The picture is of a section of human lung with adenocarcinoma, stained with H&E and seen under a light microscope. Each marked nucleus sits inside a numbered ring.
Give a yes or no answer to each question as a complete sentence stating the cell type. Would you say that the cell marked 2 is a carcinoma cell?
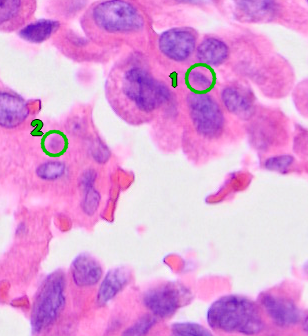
No, the cell with number 2 is not a carcinoma cell but a macrophage or monocyte.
